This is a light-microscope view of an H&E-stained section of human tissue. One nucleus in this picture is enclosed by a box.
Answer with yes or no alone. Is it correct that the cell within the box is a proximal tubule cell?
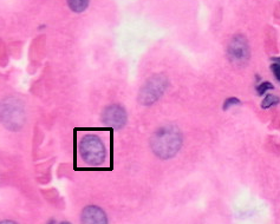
yes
